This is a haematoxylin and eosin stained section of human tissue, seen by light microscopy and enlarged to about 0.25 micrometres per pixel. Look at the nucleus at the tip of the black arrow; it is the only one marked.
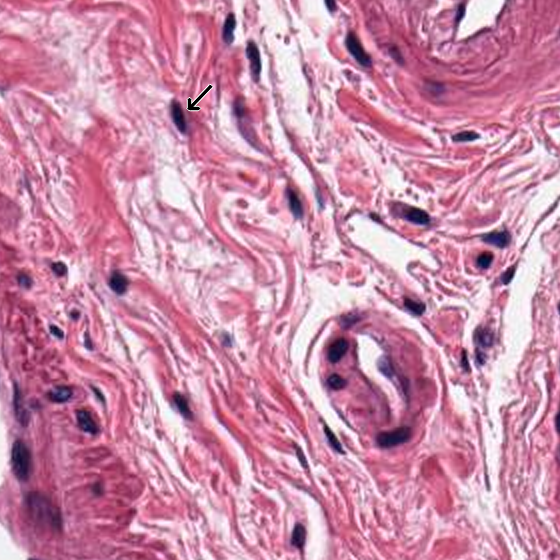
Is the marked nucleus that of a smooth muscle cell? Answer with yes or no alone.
no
